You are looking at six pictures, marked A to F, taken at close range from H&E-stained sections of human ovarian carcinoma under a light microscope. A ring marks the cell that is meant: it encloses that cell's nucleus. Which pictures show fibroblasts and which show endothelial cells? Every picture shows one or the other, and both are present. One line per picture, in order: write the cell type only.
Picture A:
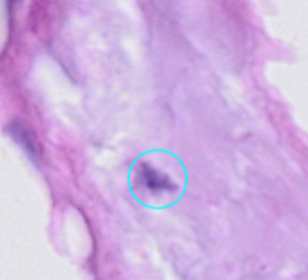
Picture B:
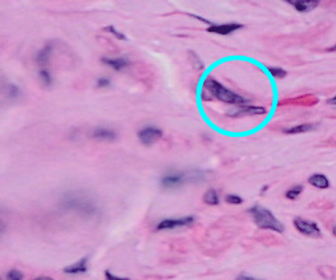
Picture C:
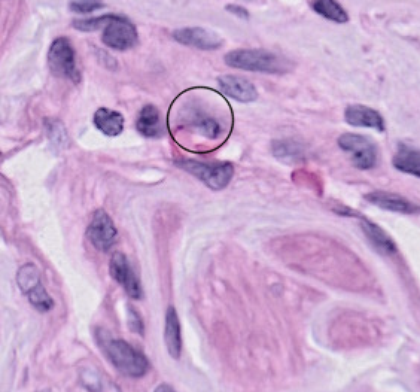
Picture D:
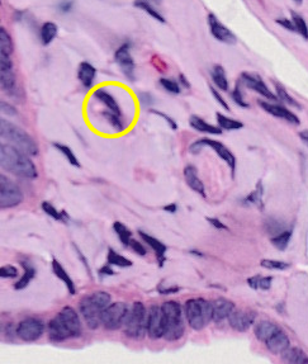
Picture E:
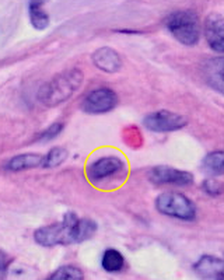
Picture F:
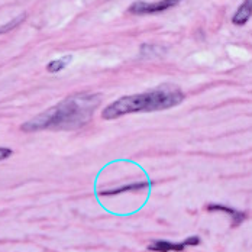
fibroblast
endothelial cell
endothelial cell
endothelial cell
endothelial cell
fibroblast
